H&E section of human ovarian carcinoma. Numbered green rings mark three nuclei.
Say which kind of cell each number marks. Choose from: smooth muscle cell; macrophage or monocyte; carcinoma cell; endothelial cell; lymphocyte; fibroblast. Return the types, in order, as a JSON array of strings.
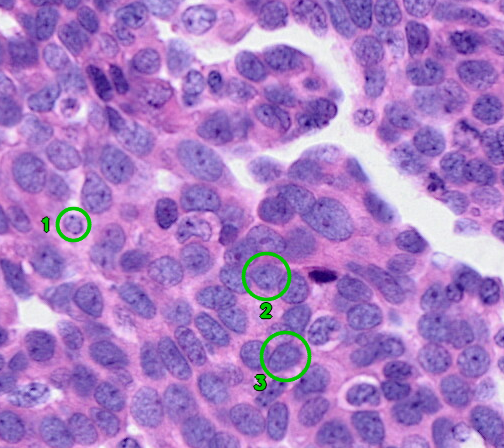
["macrophage or monocyte", "carcinoma cell", "carcinoma cell"]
